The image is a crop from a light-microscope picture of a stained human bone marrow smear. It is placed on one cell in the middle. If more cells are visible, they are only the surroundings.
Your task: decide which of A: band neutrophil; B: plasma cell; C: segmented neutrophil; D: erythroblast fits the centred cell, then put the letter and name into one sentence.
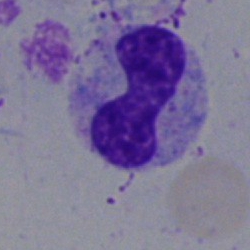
The centrally located cell is a segmented neutrophil, making option C the correct choice.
